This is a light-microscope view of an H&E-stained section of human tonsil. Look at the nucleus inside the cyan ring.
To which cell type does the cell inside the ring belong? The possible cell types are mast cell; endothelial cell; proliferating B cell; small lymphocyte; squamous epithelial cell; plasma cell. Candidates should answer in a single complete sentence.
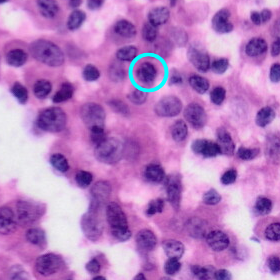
As for its identity, the cell inside the ring is a plasma cell.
